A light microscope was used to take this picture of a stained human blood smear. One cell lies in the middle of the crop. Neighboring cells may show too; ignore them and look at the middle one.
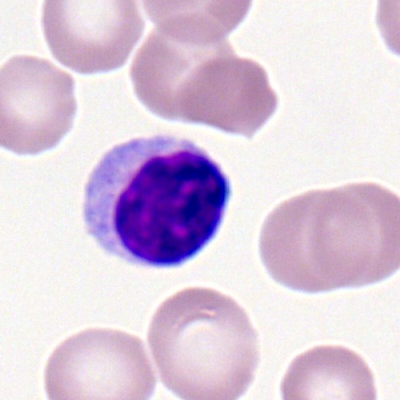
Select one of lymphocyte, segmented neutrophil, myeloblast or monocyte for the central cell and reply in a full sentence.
At the center of the crop sits a lymphocyte.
